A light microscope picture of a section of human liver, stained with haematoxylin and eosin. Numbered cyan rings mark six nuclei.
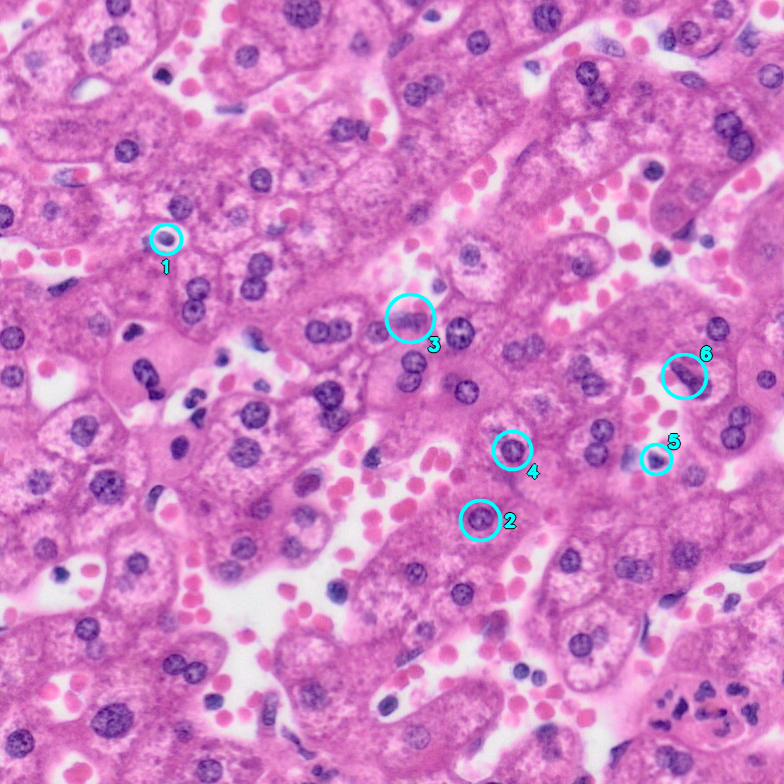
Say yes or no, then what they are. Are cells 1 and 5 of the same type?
Yes, both are lymphocytes.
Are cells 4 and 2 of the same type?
Yes, both are hepatocytes.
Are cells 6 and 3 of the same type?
No, cell 6 is a fibroblast or stellate cell and cell 3 is an endothelial cell.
